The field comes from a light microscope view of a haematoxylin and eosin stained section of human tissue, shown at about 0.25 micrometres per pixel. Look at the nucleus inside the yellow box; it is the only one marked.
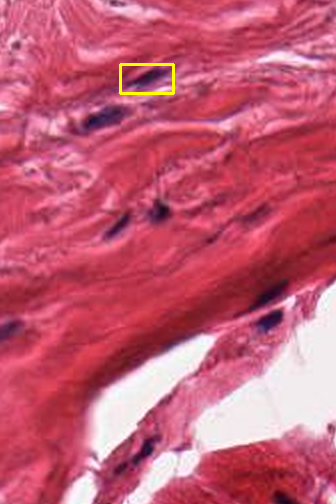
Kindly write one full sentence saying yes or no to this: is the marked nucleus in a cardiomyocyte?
No, it is not a cardiomyocyte that owns the marked nucleus but a supporting cell.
